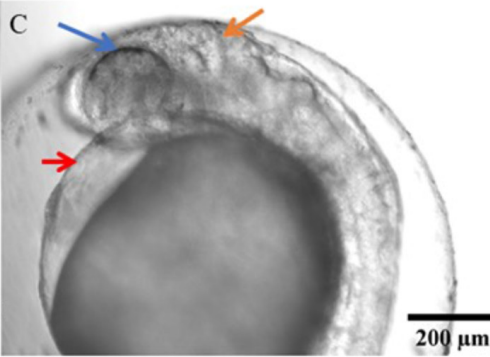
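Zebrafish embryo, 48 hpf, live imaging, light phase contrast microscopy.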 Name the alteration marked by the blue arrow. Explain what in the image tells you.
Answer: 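The blue arrow points to the eye. The eye is pale with only a thin dark rim. Few dark pigment cells are seen along the body.
Hence: limited or lacking pigmentation.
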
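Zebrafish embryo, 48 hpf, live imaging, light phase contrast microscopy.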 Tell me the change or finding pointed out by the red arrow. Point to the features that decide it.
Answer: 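Enlargement of the cardiac cavity. The red arrow points to a wide clear fluid-filled space in front of the yolk and below the head. The space lies between the head and the large yolk sac.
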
